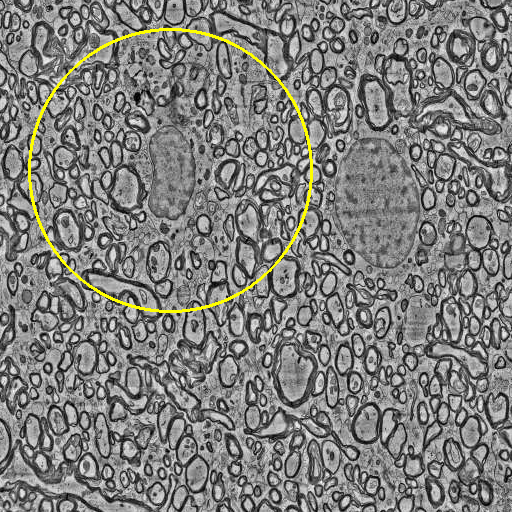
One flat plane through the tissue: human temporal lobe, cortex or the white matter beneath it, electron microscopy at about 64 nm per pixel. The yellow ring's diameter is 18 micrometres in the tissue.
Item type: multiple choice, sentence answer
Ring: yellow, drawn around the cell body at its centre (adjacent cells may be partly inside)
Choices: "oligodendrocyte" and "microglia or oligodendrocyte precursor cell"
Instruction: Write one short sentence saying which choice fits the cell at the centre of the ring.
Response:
This ring is drawn around an oligodendrocyte.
